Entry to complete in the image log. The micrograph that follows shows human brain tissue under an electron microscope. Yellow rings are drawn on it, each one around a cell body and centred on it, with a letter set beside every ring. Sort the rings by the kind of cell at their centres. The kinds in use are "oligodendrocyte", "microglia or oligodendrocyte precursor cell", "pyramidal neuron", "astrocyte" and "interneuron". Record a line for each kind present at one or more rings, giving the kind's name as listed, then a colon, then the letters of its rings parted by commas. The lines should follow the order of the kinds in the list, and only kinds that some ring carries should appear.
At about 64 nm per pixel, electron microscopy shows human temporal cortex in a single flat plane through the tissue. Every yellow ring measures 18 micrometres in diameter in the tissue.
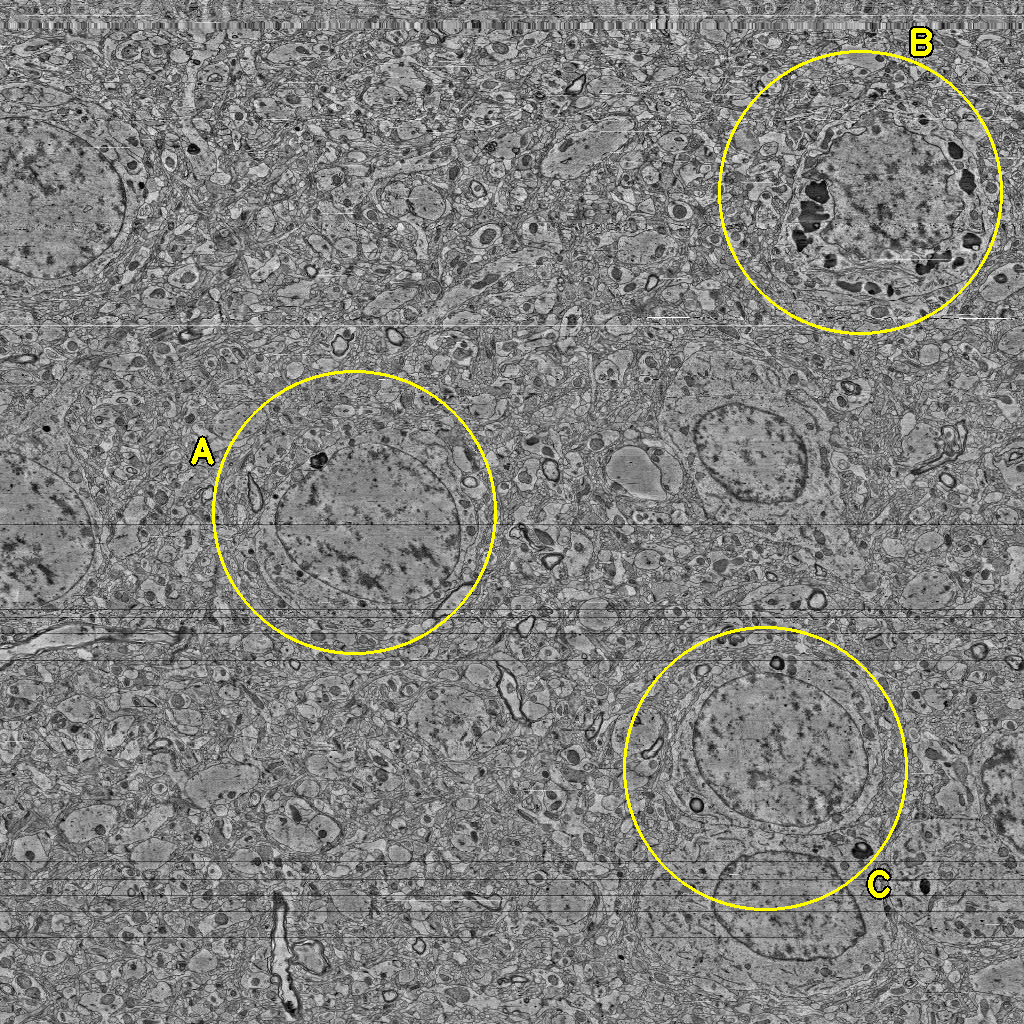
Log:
pyramidal neuron: A, C
interneuron: B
